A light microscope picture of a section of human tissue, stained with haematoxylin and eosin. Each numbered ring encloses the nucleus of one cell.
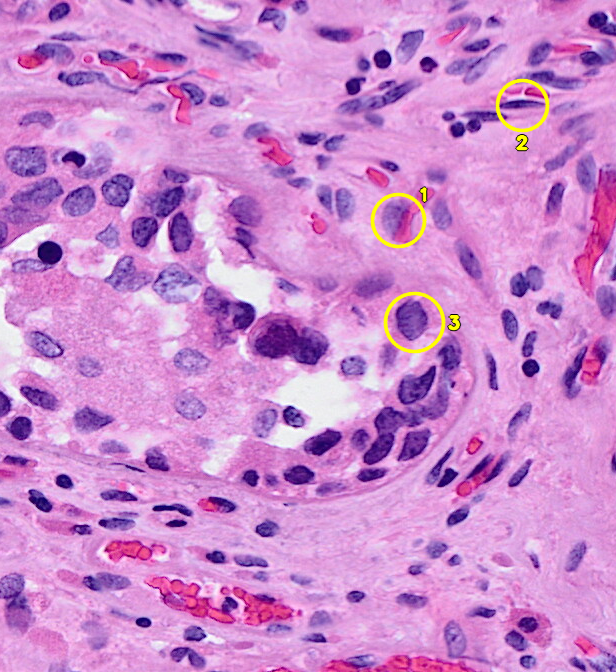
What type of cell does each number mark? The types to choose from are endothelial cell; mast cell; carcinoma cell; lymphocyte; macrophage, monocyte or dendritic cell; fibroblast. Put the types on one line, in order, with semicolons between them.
endothelial cell; endothelial cell; carcinoma cell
